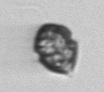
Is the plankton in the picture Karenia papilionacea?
No, it is Scrippsiella.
